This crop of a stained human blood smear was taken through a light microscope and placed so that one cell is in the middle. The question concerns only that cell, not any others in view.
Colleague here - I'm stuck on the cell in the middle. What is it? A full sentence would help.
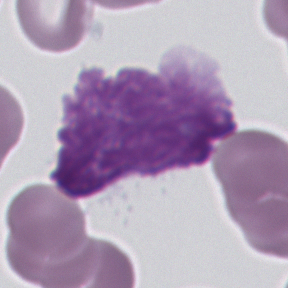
The cell found in the middle of this crop is a smudge cell.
